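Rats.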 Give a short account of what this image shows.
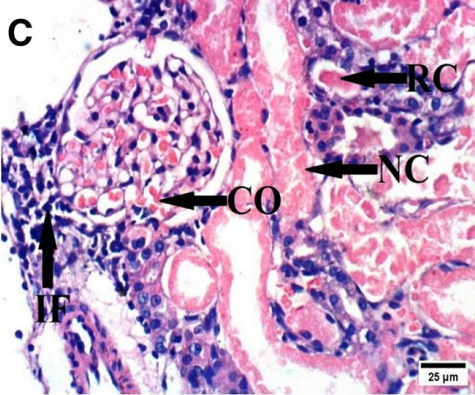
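Damaged kidney cortex showing a glomerulus, tubules and the tissue between them. The glomerular tuft is crowded with bright red blood cells filling its capillary loops. Between the structures, especially on the left, the interstitium is packed with many small, dark blue, round nuclei of infiltrating inflammatory cells. Several tubules are pale, with epithelial cells that have lost their clear nuclei, and some lumens are filled with homogeneous pink material forming casts. The orderly arrangement of tubules seen in healthy kidney is lost.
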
